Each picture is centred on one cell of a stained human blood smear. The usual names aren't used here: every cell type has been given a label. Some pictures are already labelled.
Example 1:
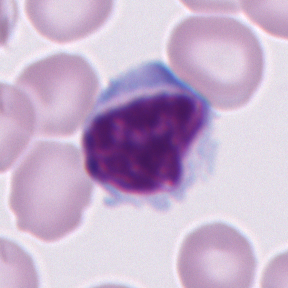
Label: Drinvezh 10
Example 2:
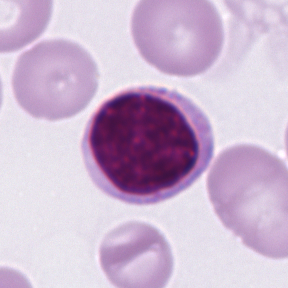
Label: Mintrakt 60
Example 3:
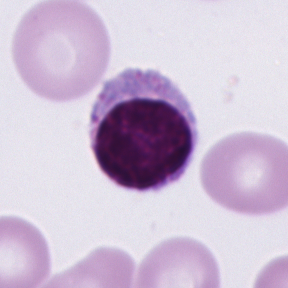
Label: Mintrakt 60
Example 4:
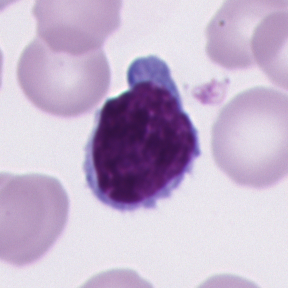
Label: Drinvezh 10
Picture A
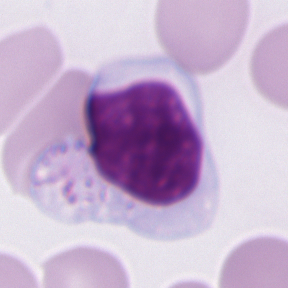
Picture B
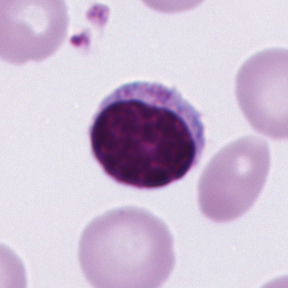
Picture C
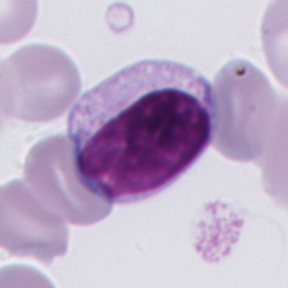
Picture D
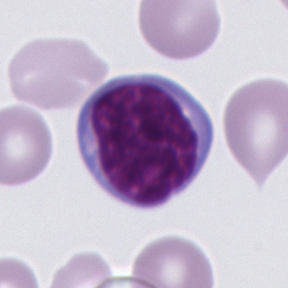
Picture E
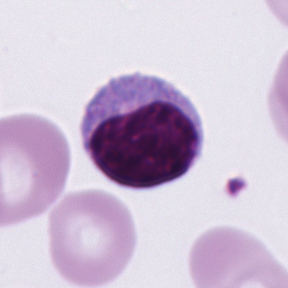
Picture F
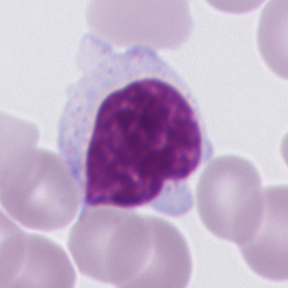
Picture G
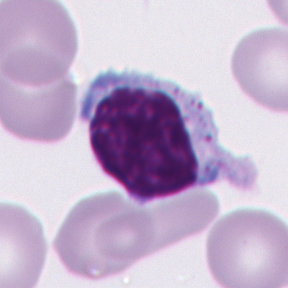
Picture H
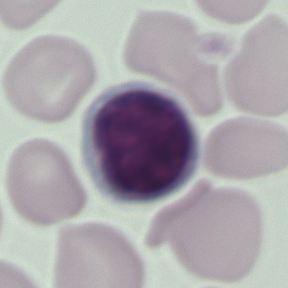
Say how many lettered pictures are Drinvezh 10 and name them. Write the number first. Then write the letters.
2: E, H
